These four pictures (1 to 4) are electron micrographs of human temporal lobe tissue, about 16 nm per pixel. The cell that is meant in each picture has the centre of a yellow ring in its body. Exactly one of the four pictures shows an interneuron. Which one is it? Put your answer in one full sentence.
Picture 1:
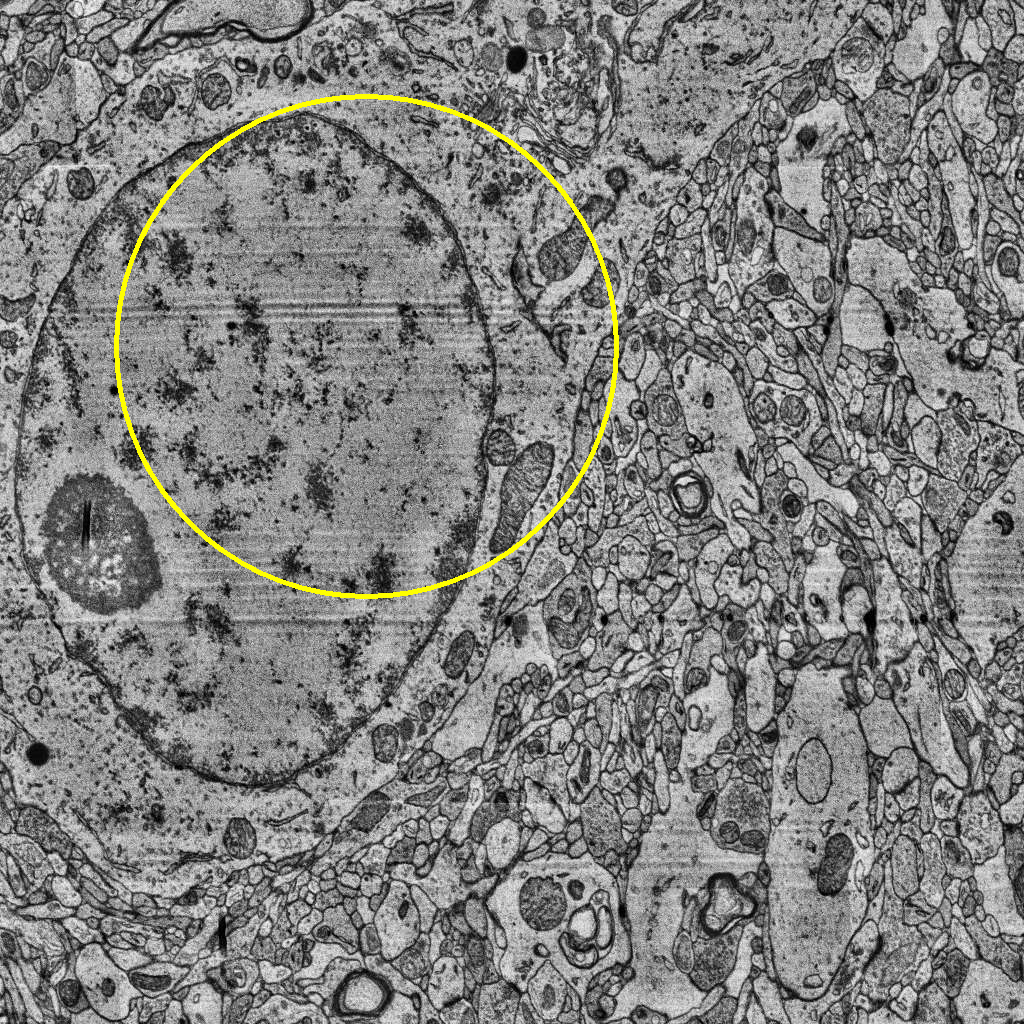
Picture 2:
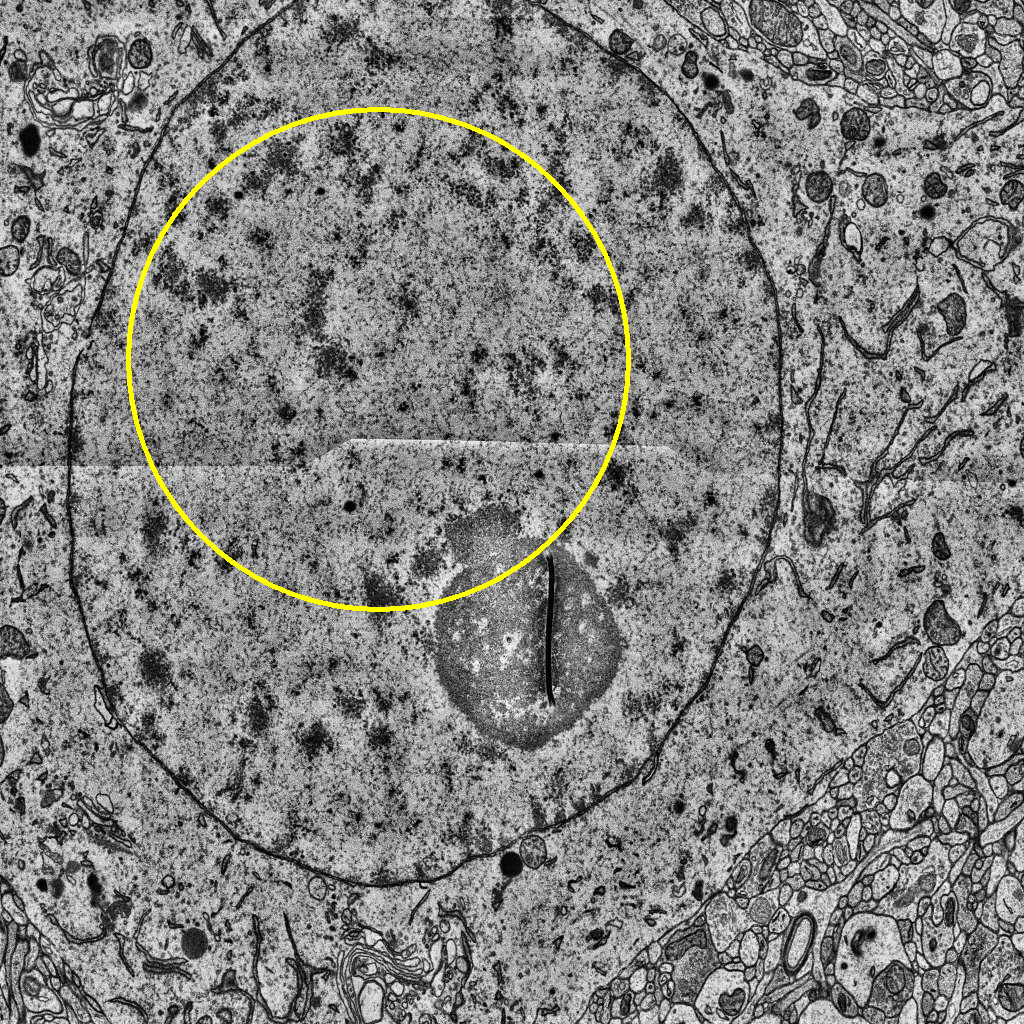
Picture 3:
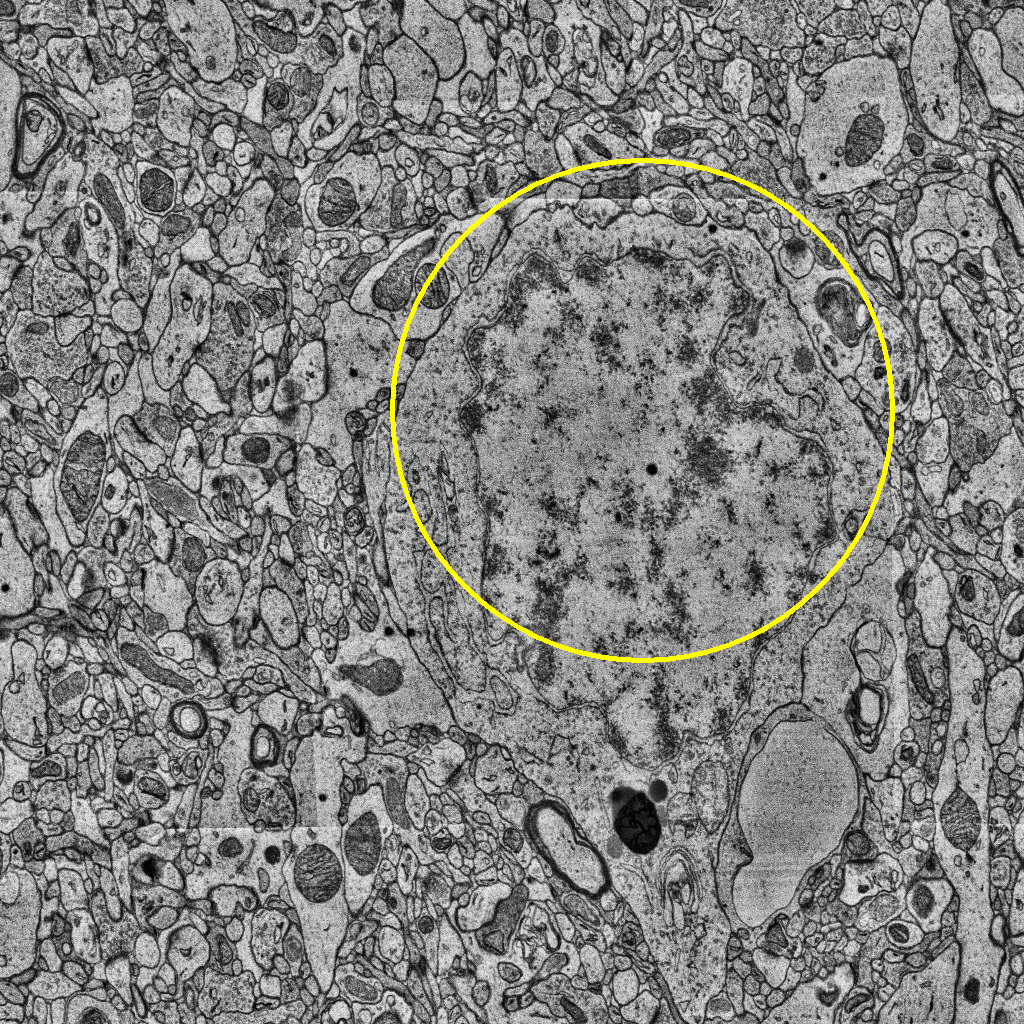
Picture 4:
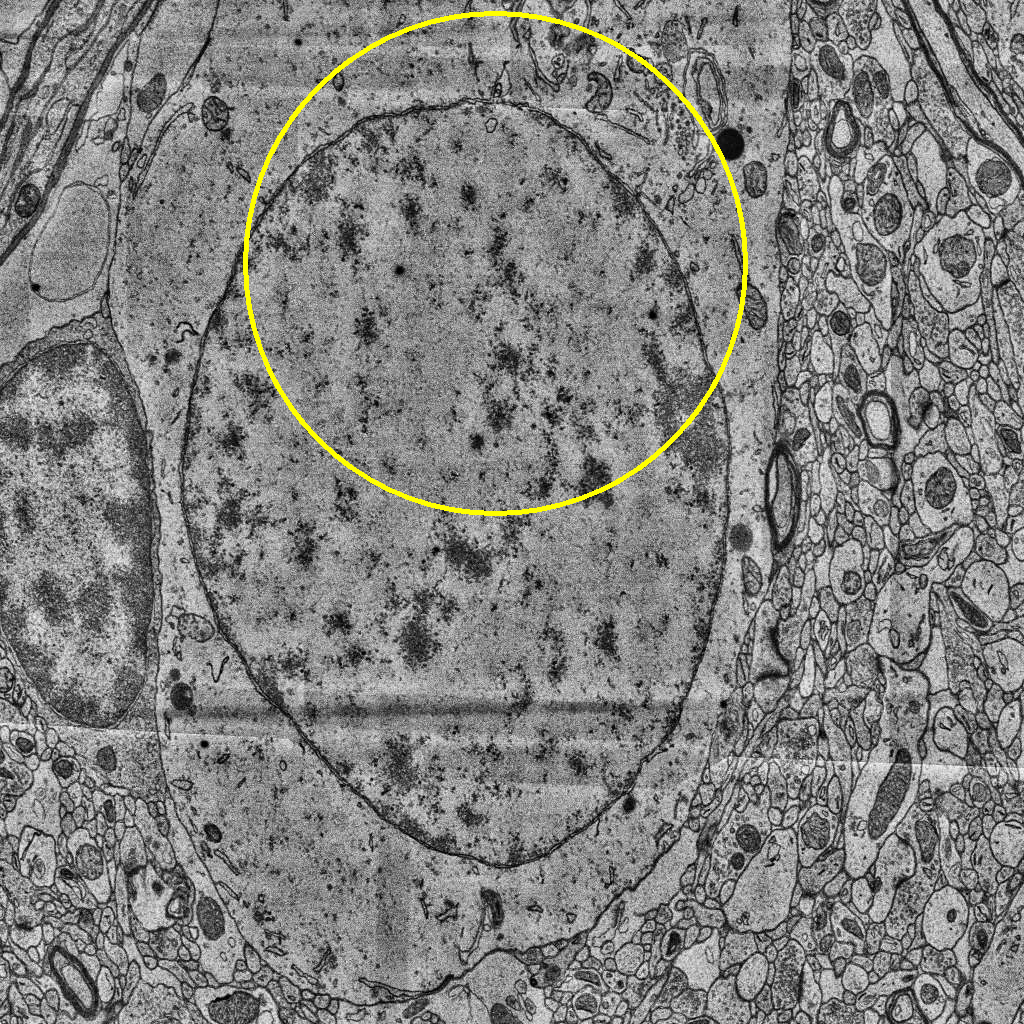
The picture with the interneuron is 3.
